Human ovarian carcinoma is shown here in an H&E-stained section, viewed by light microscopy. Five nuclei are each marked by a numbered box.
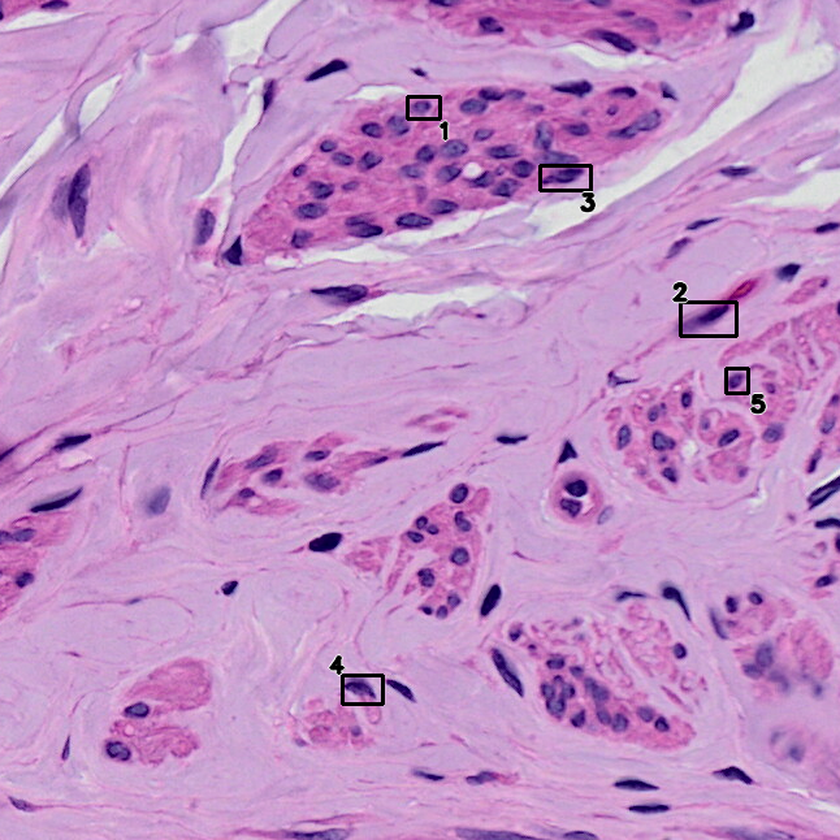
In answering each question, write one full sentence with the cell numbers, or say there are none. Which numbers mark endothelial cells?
Cell 2 is an endothelial cell, while all remaining marked cells are of other types.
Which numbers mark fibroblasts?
Only the cell numbered 4 is a fibroblast, and the others are something else.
